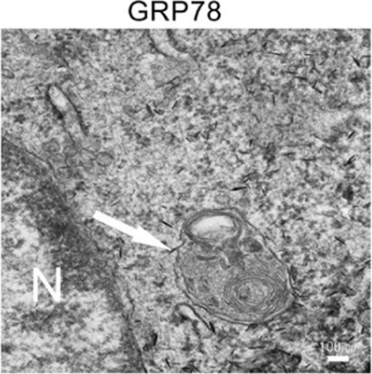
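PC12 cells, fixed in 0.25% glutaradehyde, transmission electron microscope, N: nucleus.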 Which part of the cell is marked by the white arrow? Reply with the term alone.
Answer: Autophagosomes.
